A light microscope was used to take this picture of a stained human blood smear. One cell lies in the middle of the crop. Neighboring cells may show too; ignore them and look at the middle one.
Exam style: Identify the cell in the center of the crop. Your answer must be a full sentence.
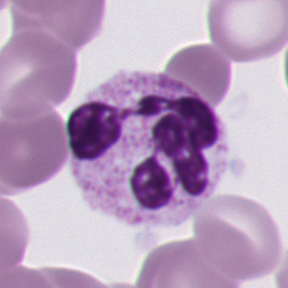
The middle of this crop is occupied by a segmented neutrophil.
